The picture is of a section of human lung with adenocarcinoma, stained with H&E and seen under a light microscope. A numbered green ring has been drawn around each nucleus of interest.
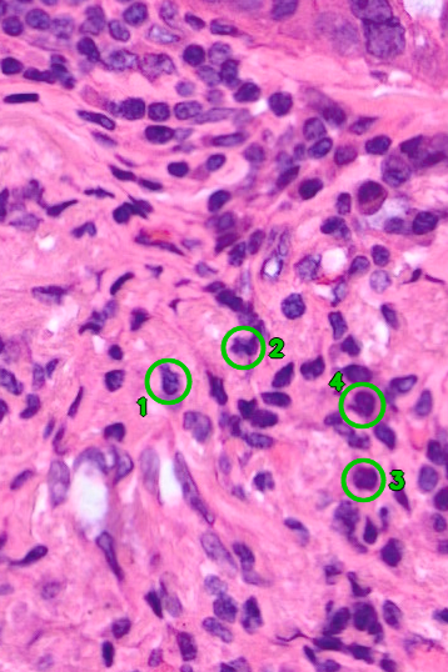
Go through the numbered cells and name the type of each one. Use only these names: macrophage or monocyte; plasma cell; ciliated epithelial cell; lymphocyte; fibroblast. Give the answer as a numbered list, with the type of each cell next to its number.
1. lymphocyte
2. lymphocyte
3. plasma cell
4. plasma cell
